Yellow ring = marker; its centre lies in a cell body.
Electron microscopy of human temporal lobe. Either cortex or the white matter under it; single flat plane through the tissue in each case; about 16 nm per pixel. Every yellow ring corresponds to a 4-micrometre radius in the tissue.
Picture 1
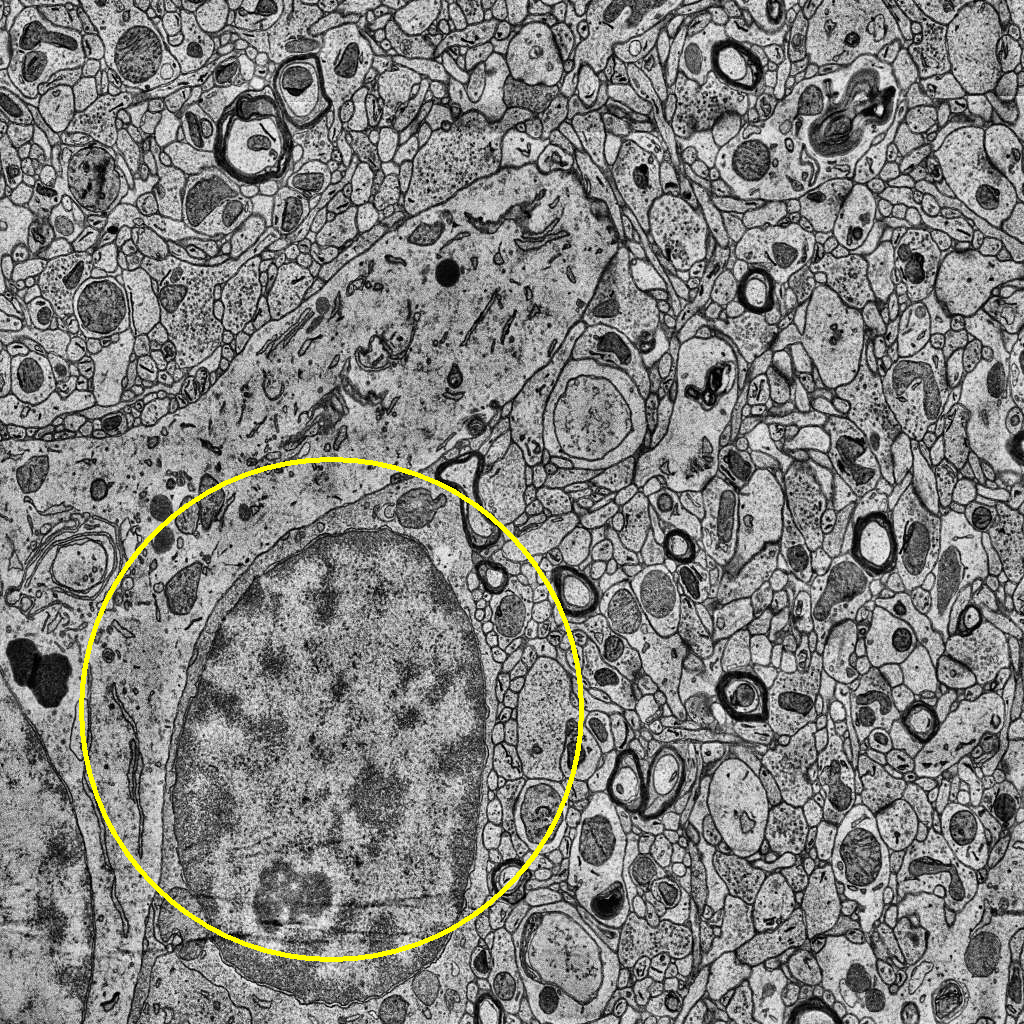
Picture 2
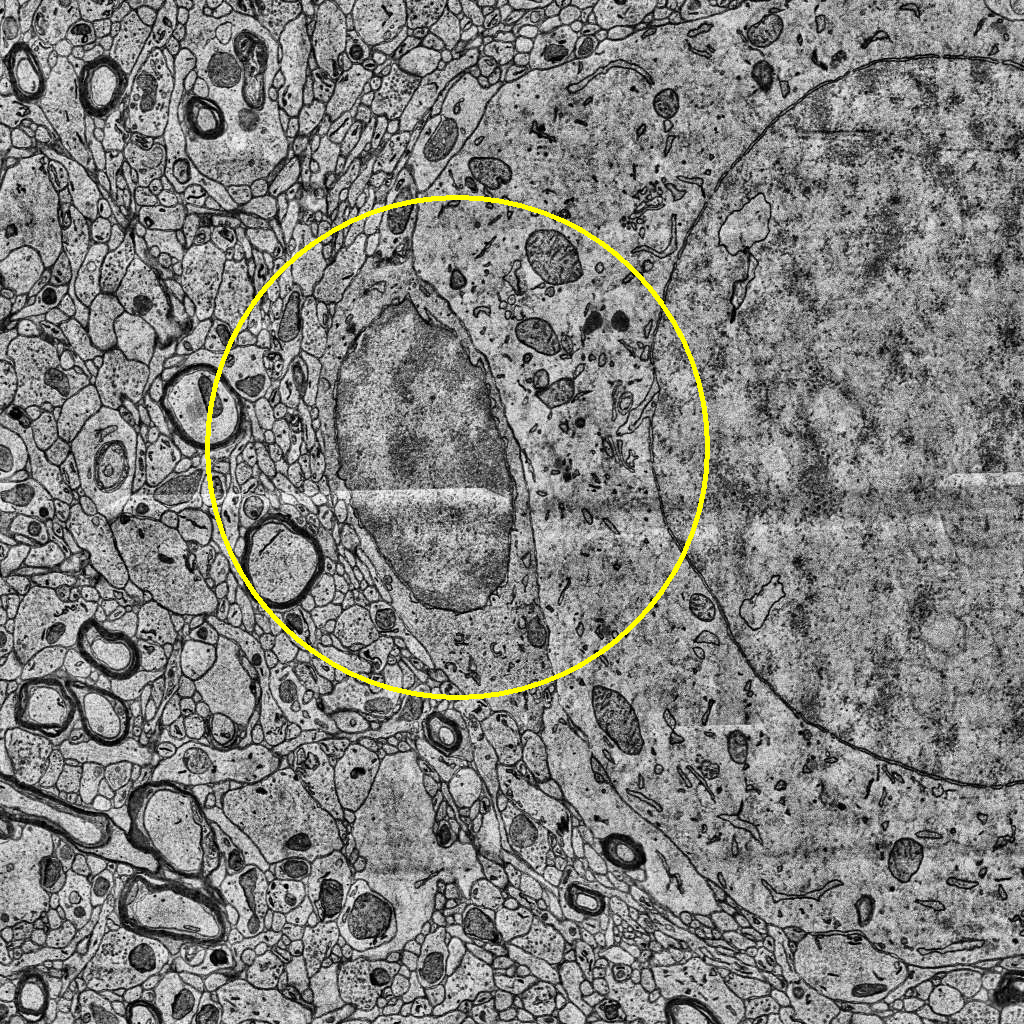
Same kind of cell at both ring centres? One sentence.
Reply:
Yes, they are the same kind of cell.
